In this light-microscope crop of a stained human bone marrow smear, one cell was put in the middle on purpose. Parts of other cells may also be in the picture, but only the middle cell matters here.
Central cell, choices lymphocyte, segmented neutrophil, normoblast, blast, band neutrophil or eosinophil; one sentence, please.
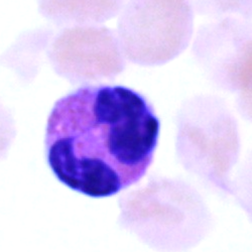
The cell under consideration, at the middle of the crop, is an eosinophil.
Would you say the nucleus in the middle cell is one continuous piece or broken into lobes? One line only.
If you check the nucleus, you will find it split into two or more lobes.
